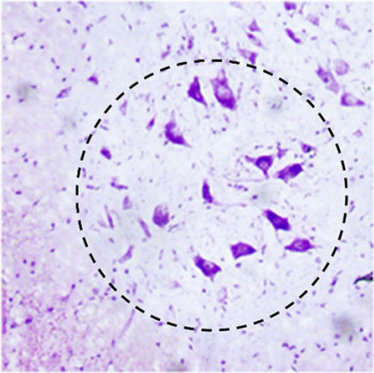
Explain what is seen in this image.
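This is grey matter of the spinal cord ventral horn with its large motor neurons stained dark purple. Inside the dashed circle lie about a dozen big, angular or triangular cell bodies, several with thick processes tapering away from them. Around them, on a pale bluish background, are many small, dark nuclei of much smaller cells.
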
